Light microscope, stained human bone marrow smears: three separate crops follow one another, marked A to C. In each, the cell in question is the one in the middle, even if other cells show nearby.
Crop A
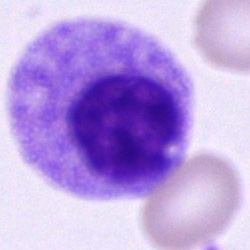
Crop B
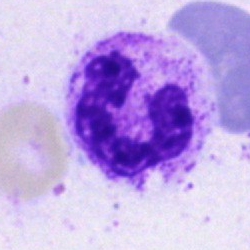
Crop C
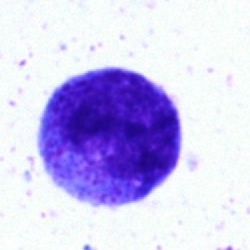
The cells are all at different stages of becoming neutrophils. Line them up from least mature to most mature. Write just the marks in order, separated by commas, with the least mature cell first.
C, A, B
